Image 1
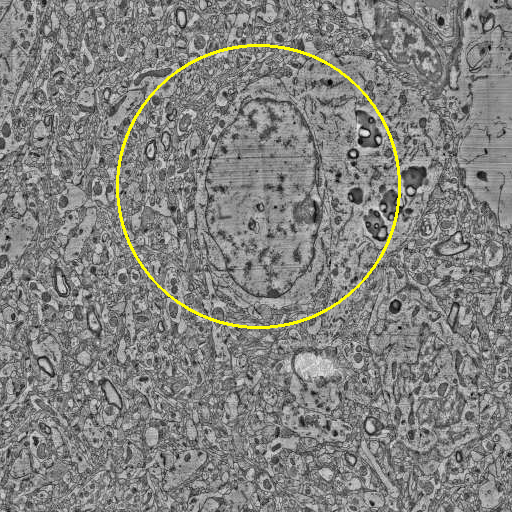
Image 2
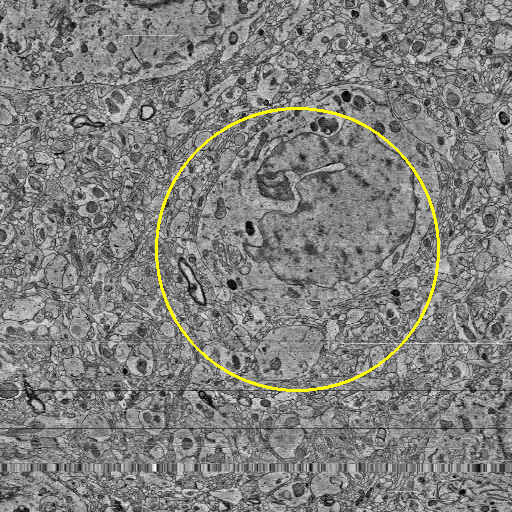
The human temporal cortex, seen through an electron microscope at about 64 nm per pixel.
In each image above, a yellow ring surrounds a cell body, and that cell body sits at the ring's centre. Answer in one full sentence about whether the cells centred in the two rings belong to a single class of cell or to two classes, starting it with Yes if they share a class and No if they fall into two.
Yes, the cells centred in the two yellow rings belong to a single class of cell.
